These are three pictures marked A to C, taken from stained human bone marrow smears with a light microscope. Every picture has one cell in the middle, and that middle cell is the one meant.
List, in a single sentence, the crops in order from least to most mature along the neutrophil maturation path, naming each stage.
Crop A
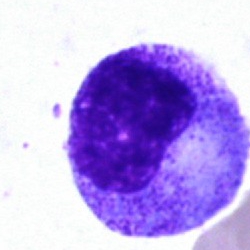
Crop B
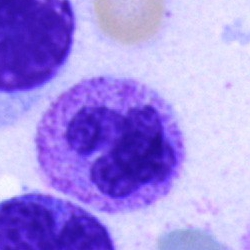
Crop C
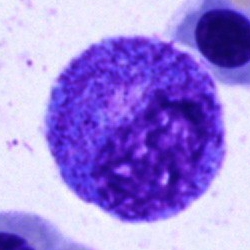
When ranked by maturity from lowest to highest, the order is crop C (a promyelocyte), crop A (a metamyelocyte) and crop B (a segmented neutrophil).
